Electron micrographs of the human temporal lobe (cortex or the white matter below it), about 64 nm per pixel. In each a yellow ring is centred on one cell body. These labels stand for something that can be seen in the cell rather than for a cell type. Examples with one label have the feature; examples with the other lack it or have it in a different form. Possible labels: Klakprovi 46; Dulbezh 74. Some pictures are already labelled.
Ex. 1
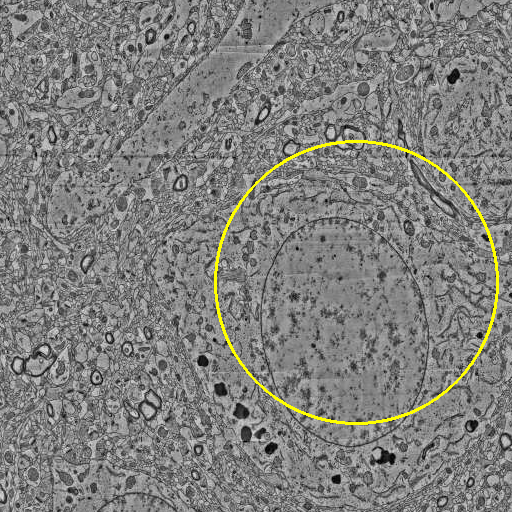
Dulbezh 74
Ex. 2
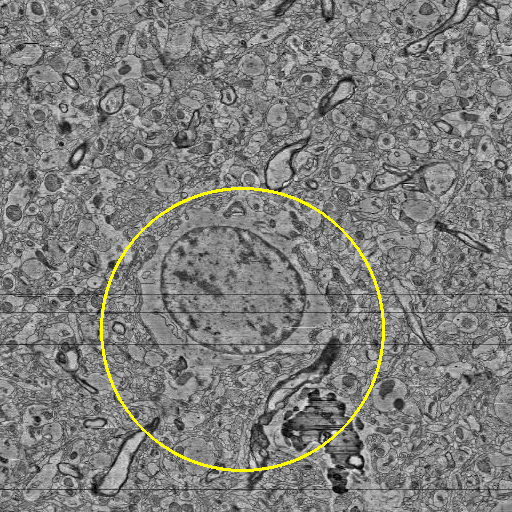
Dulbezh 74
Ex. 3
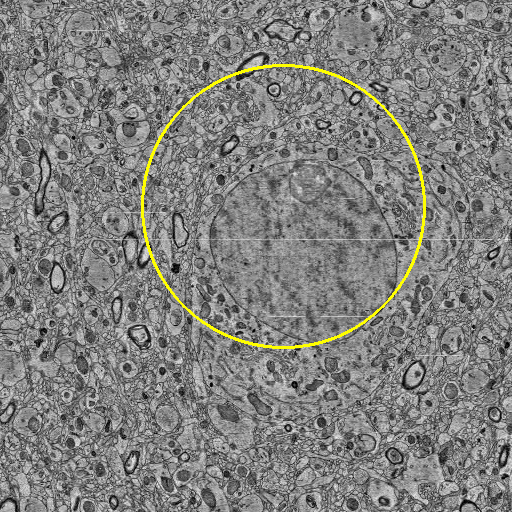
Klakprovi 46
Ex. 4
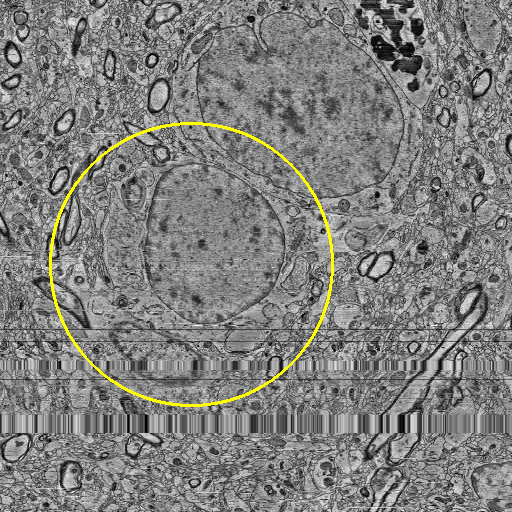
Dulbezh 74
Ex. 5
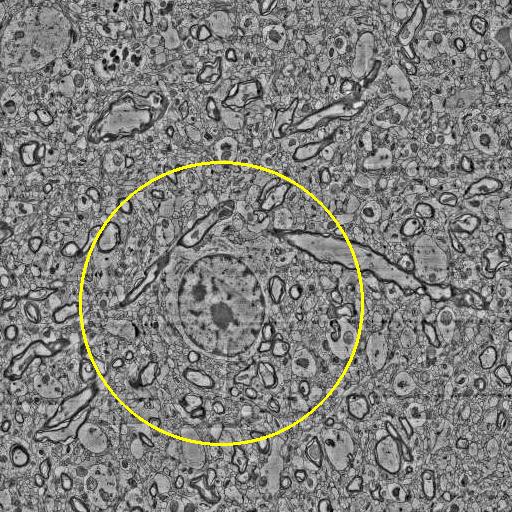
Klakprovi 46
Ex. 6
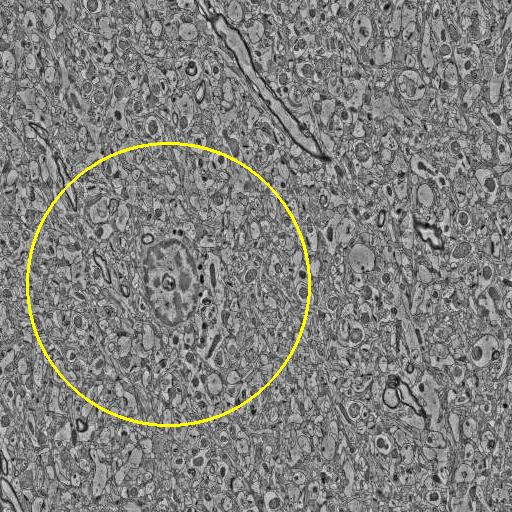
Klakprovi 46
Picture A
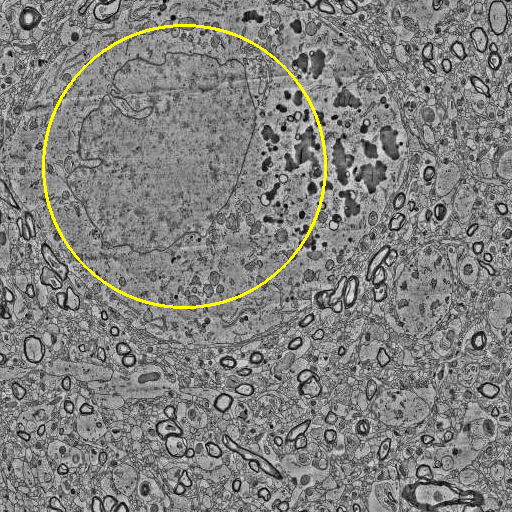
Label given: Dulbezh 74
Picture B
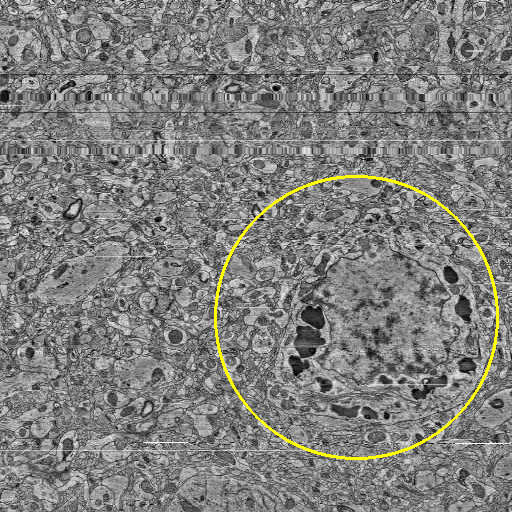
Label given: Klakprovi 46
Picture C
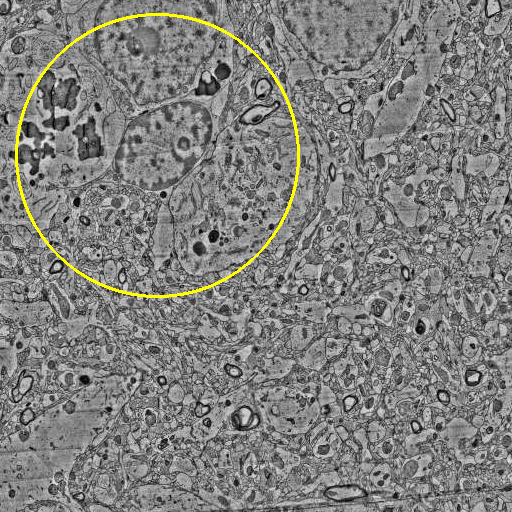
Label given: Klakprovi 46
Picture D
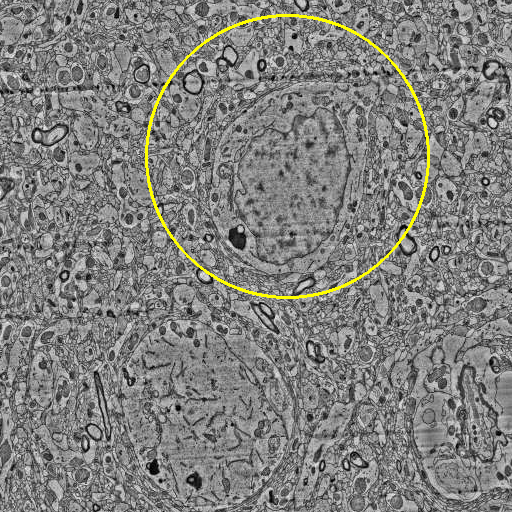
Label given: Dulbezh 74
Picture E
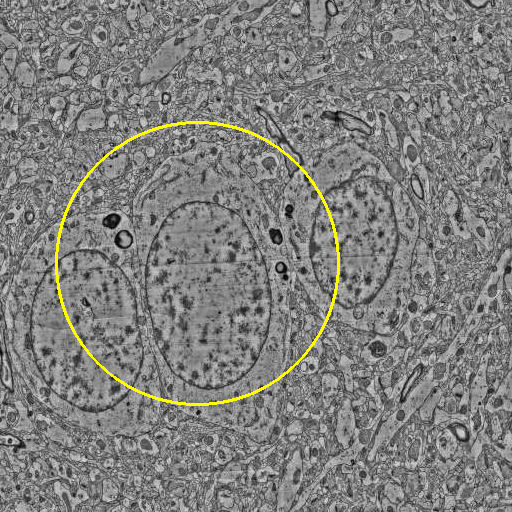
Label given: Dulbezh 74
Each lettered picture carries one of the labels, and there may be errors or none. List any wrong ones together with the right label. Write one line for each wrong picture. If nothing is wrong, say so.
Wrong: B (Klakprovi 46); correct: Dulbezh 74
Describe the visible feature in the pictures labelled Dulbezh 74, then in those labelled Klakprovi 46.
Dulbezh 74: no nucleolus seen; Klakprovi 46: nucleolus seen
